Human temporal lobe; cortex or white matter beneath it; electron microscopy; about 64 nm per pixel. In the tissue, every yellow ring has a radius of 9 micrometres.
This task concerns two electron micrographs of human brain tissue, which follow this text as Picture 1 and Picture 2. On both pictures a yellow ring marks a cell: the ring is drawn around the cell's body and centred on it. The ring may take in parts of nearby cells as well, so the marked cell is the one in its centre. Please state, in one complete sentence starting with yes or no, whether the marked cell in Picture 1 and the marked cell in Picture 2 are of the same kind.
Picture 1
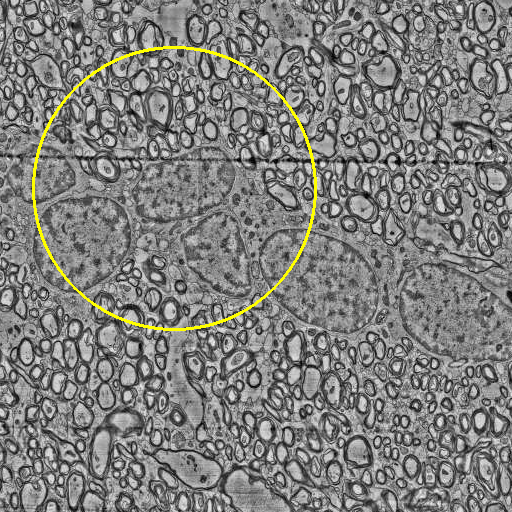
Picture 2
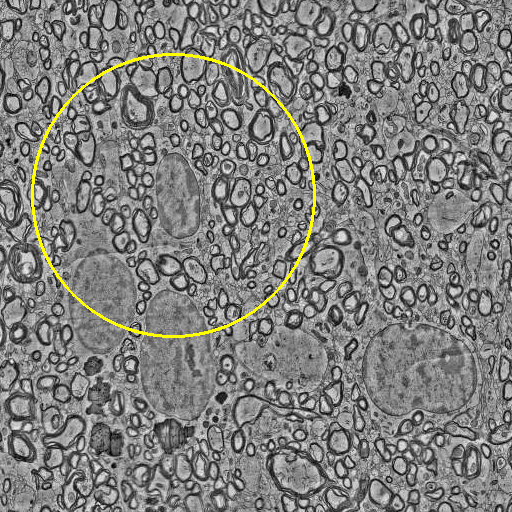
No, the marked cells in the two pictures are of two kinds.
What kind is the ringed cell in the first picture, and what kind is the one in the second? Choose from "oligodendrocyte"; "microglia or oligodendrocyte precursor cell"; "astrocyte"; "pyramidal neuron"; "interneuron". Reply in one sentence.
The first cell is an oligodendrocyte; the second is a microglial cell or oligodendrocyte precursor cell.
